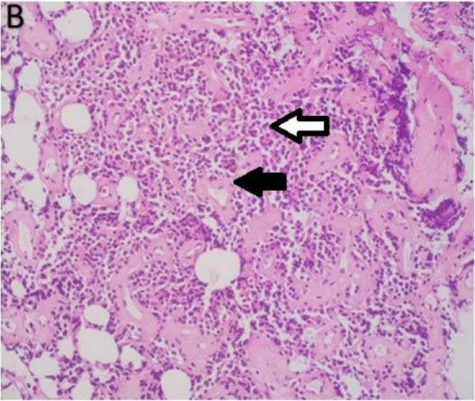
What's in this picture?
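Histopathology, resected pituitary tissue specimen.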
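The tumor cells look much alike, with round nuclei that are dark purple and fairly evenly sized, and scant pale cytoplasm. Scattered clear round spaces break up the tissue. No areas of dead tissue are evident, and the cells show no obvious variation in shape or size.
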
